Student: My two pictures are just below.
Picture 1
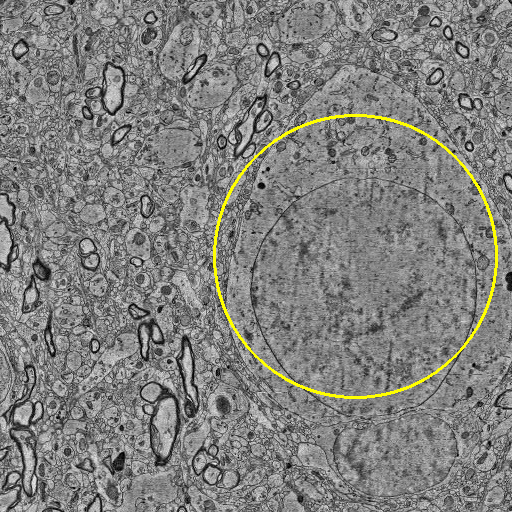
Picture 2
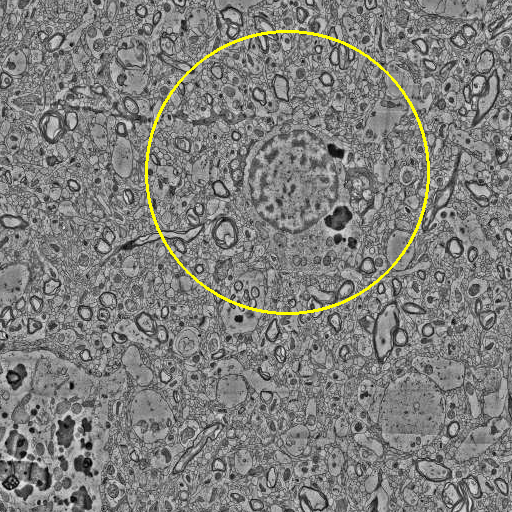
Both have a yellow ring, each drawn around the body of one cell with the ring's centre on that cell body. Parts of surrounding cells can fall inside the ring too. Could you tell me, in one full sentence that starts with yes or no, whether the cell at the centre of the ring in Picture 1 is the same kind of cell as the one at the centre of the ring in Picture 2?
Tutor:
No, the two cells are of two kinds.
